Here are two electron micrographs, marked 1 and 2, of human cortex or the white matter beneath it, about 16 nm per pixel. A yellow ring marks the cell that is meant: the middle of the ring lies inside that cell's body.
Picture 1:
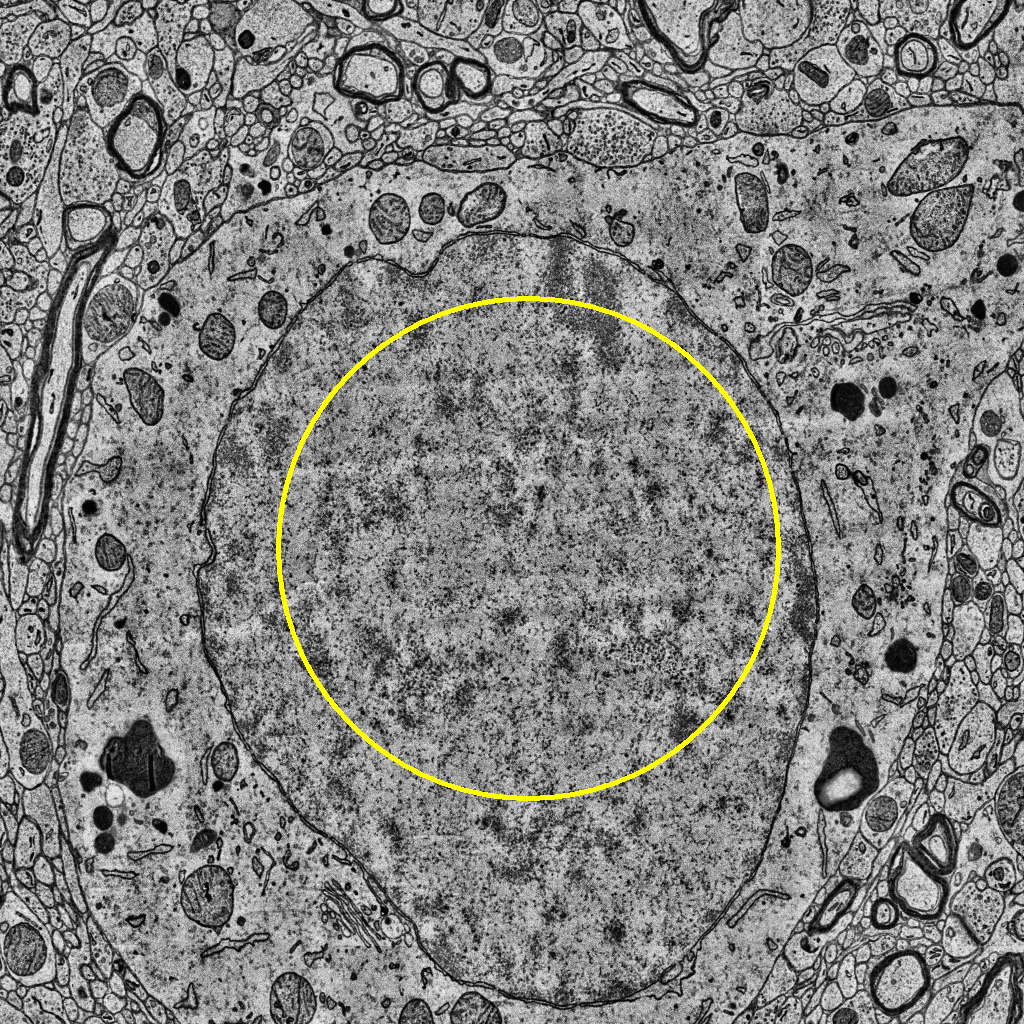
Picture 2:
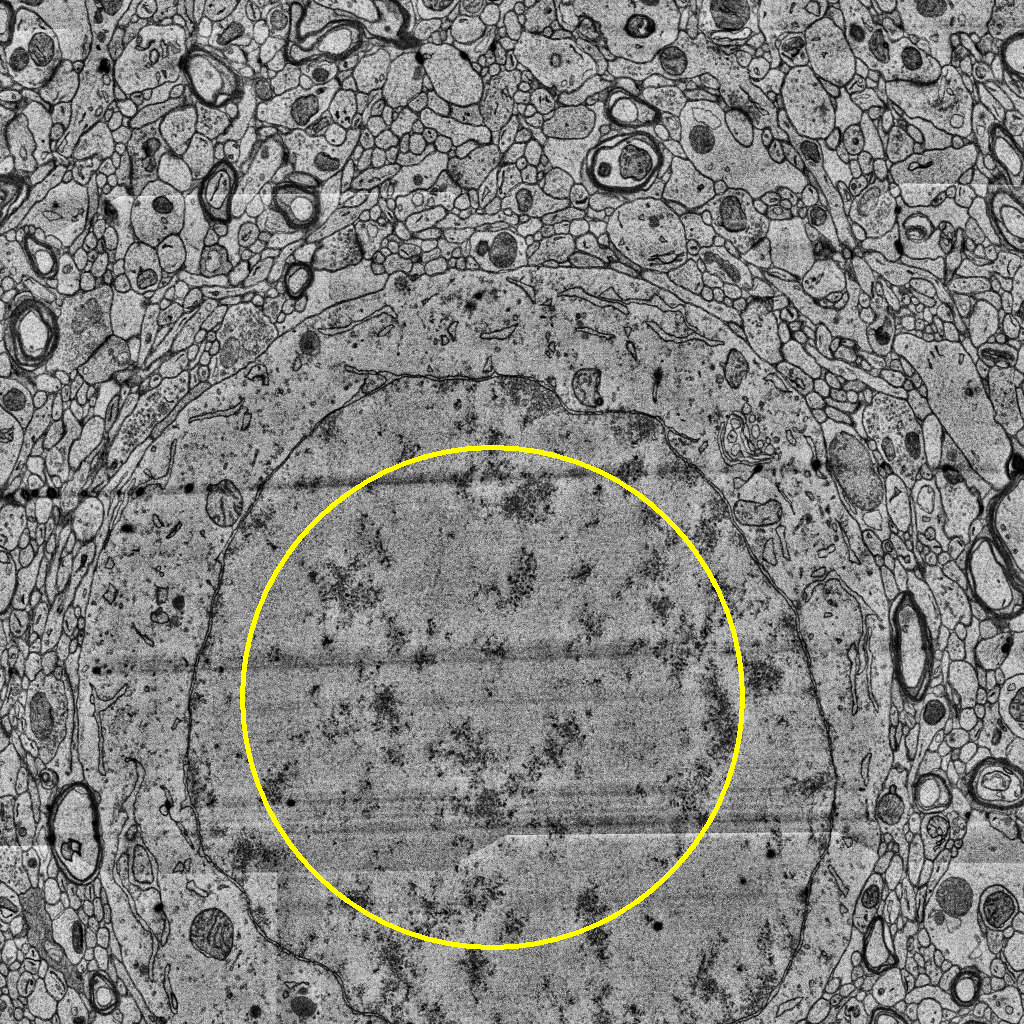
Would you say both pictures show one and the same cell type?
Yes, both cells are pyramidal neurons.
